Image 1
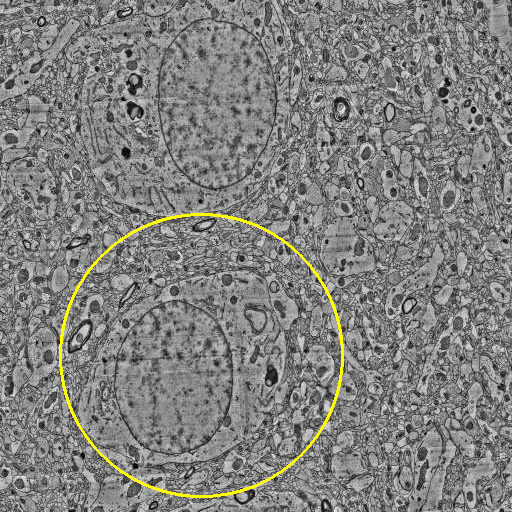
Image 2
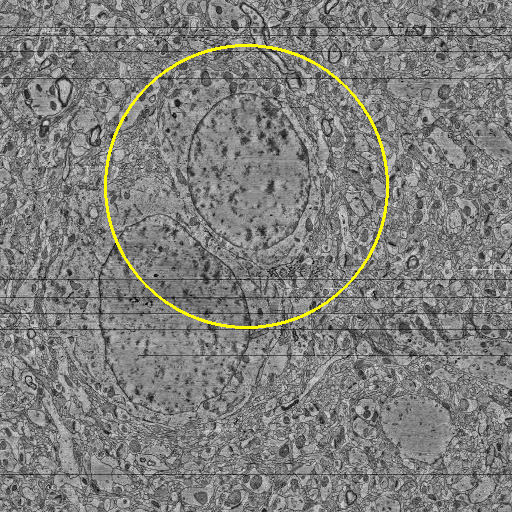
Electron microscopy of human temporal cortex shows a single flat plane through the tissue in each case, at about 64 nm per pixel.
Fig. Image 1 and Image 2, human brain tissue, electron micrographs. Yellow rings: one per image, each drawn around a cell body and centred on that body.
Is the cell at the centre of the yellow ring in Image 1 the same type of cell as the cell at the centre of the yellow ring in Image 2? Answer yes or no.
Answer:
yes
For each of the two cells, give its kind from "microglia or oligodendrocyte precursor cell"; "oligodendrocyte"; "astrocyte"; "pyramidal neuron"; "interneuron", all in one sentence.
Each cell, in the first picture and the second, is a pyramidal neuron.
